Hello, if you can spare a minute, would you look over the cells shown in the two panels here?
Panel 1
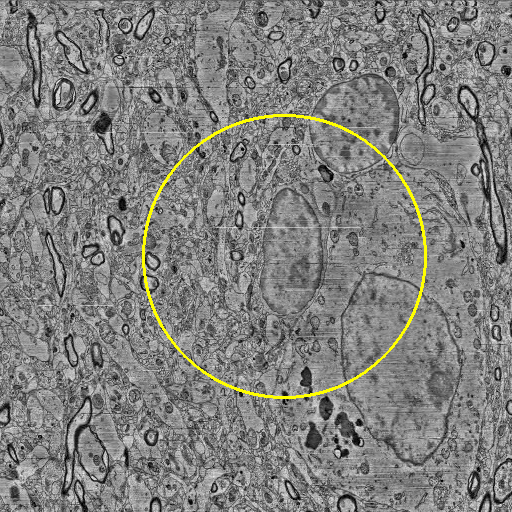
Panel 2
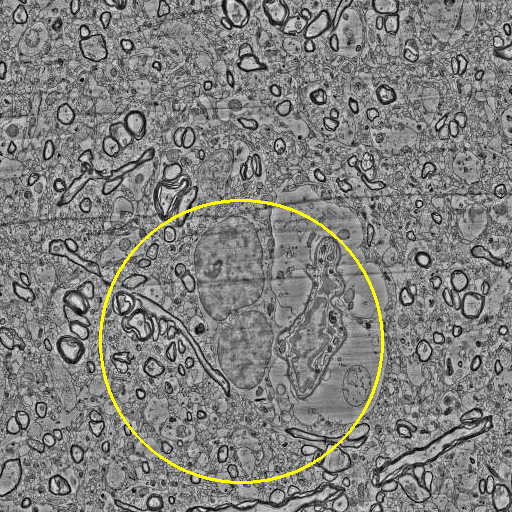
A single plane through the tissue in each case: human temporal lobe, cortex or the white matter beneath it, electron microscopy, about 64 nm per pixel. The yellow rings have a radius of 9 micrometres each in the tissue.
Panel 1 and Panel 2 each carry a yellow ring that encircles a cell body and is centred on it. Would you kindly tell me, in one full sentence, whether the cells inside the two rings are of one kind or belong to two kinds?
The cells at the centres of the rings in Panel 1 and Panel 2 are of one kind.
